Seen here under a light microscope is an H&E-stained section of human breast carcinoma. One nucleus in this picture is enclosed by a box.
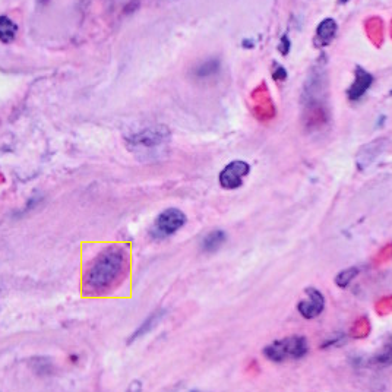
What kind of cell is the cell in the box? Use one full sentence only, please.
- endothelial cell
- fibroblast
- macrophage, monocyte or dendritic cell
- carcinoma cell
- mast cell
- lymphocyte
As classified here, the cell in the box is a mast cell.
